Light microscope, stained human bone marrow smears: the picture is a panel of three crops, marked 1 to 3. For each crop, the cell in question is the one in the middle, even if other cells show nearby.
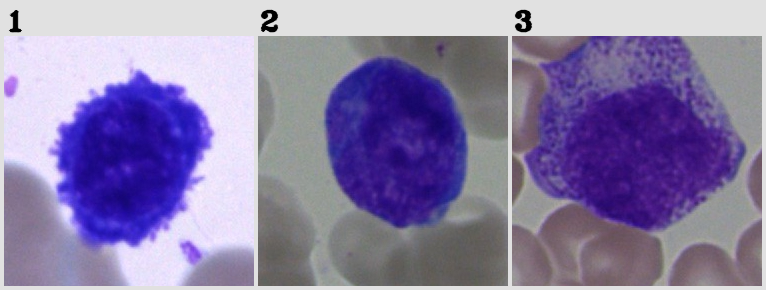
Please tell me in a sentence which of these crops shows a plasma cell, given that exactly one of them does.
The sole crop showing a plasma cell is crop 1.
